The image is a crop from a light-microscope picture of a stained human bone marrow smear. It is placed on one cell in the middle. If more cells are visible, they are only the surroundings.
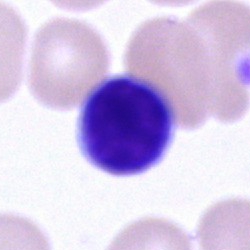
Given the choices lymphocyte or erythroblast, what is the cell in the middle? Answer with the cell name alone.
lymphocyte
